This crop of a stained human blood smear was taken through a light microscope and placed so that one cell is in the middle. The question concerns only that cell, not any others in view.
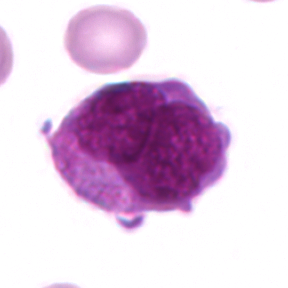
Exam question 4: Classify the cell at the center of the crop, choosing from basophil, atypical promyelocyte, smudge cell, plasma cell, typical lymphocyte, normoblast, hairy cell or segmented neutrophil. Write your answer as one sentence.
The cell under consideration, at the middle of the crop, is an atypical promyelocyte.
